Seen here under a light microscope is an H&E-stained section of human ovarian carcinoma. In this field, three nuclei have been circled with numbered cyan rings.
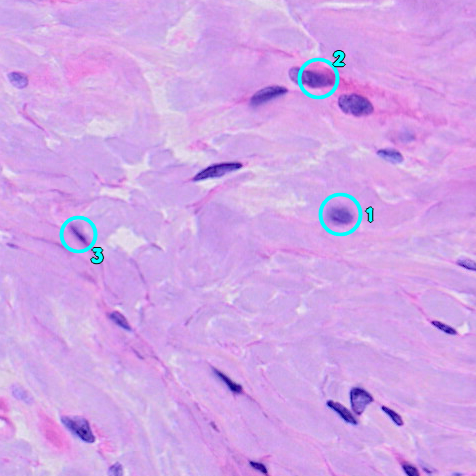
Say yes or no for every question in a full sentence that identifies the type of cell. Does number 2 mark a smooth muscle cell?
Yes, the cell to which number 2 refers is a smooth muscle cell.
